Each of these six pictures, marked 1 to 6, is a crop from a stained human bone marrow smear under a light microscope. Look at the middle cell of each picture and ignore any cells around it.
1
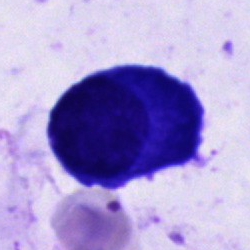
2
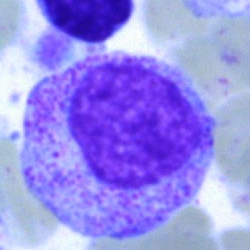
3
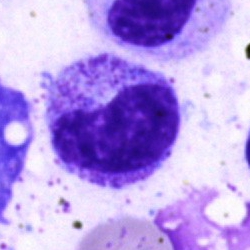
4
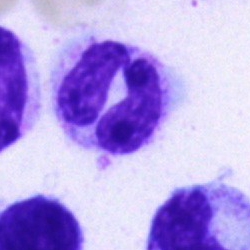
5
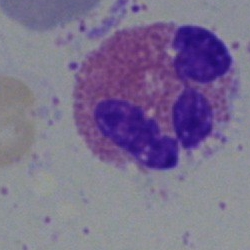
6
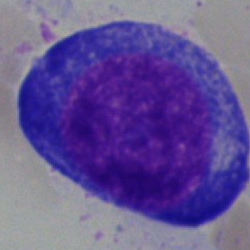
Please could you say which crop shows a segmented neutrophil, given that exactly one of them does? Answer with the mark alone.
4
